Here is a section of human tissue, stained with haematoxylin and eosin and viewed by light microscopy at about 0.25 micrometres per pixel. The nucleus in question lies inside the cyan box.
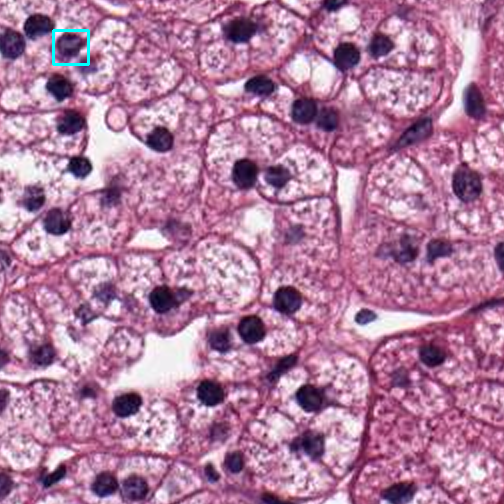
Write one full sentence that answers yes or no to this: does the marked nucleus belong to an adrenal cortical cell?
Yes, an adrenal cortical cell is the cell to which the marked nucleus belongs.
